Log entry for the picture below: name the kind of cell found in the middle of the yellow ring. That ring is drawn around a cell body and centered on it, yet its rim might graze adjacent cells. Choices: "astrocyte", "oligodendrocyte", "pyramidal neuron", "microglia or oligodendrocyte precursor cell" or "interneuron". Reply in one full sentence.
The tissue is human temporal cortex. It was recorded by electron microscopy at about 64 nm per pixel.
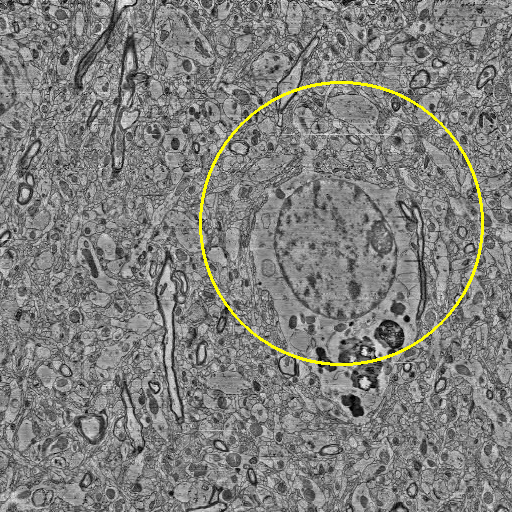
The cell in the middle of the yellow ring in this picture is an astrocyte.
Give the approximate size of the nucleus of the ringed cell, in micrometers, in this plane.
In this plane, approximately 9 by 7 micrometers.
